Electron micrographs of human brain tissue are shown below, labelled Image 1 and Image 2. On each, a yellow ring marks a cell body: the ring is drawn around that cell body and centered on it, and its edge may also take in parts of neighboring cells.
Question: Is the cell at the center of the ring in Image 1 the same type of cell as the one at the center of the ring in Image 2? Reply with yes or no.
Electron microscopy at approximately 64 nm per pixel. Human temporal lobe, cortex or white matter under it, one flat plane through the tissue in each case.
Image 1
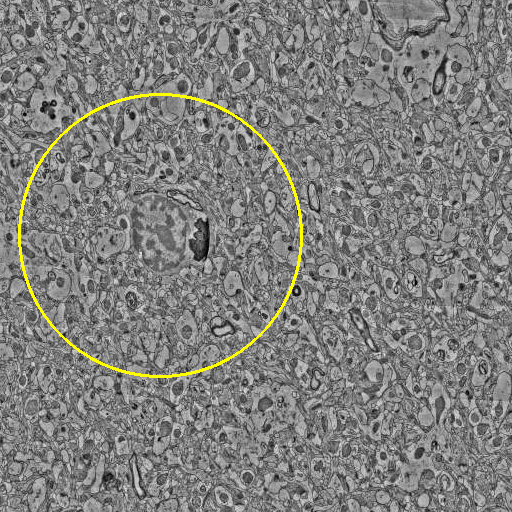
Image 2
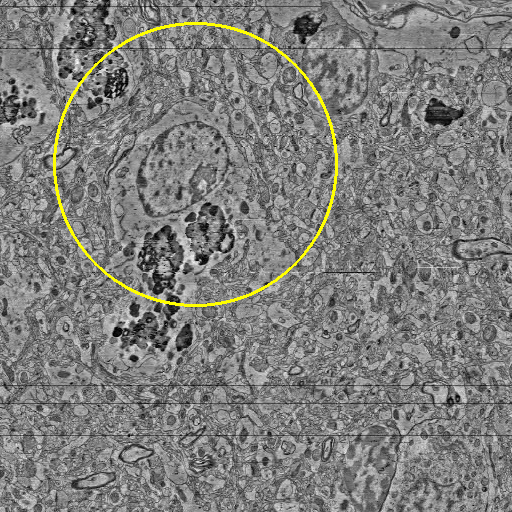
no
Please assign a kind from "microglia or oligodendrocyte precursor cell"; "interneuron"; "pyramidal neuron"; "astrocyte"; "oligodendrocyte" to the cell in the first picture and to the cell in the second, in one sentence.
In the first picture we have an oligodendrocyte, and in the second, an astrocyte.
